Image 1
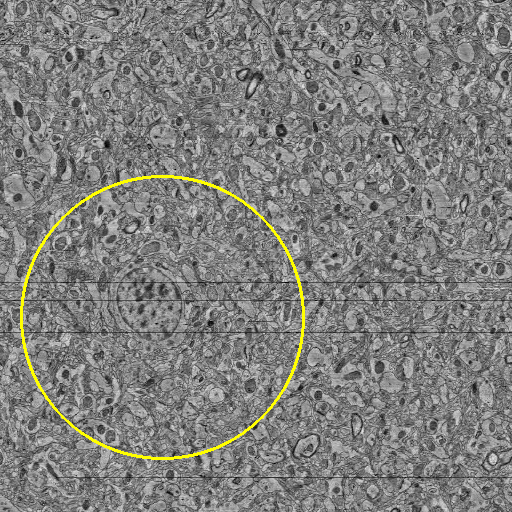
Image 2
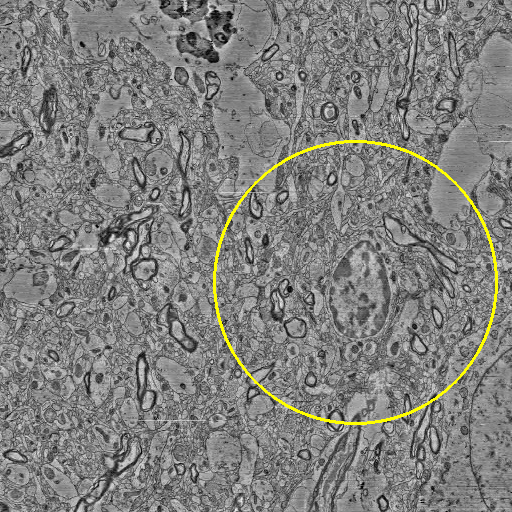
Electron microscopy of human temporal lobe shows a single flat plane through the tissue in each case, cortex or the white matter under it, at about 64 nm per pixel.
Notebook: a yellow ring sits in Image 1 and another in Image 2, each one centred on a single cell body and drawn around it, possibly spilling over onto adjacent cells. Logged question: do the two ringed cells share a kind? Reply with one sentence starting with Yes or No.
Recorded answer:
Yes, both centre cells inside the rings of Image 1 and Image 2 share one kind.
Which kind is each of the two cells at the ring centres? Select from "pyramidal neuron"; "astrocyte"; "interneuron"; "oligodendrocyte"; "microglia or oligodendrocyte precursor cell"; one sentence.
In each picture the ringed cell is a microglial cell or oligodendrocyte precursor cell.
